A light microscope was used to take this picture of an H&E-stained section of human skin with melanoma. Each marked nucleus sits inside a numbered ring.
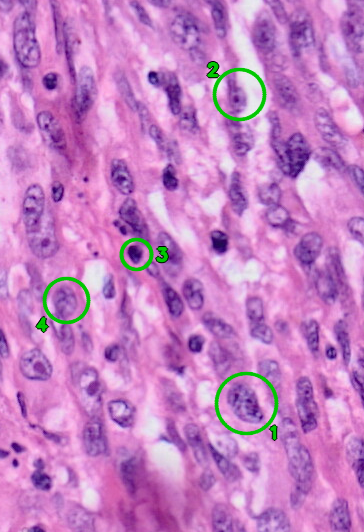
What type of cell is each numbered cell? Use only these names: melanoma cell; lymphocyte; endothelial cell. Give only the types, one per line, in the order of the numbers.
melanoma cell
melanoma cell
lymphocyte
melanoma cell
